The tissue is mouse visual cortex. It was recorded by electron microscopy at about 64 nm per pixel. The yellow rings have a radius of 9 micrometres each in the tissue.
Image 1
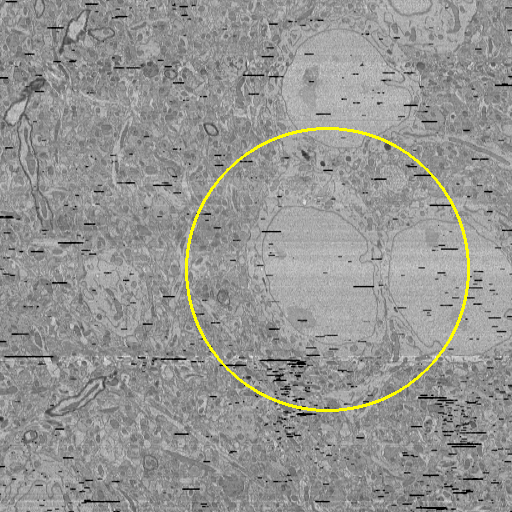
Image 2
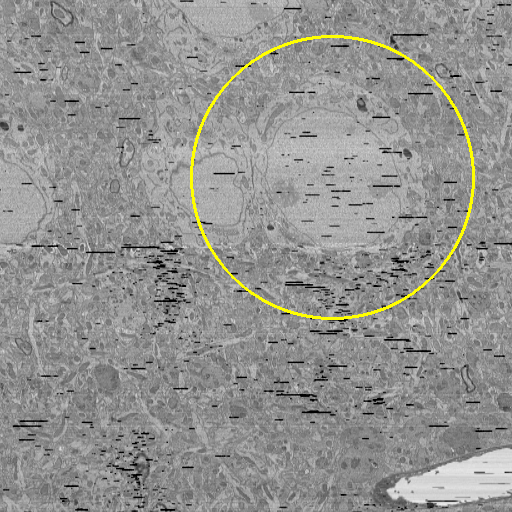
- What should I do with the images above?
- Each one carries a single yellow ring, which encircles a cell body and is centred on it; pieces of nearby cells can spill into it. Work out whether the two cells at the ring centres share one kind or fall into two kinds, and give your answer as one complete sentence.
The ring-centre cells of Image 1 and Image 2 share one kind.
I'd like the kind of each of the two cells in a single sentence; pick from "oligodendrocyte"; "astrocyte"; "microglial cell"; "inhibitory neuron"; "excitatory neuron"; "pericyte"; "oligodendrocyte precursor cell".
Each of the two rings surrounds an excitatory neuron.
